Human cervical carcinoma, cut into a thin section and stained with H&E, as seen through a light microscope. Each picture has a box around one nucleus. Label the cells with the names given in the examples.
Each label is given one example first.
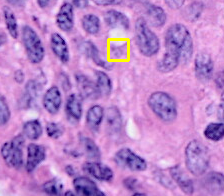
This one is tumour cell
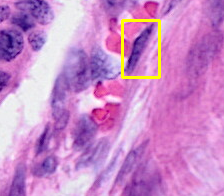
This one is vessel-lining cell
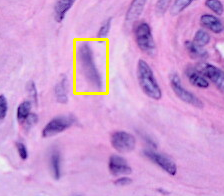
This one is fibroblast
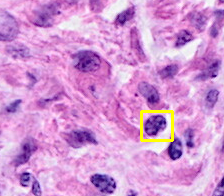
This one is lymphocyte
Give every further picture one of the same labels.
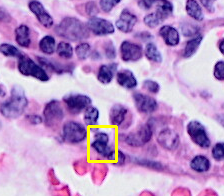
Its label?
lymphocyte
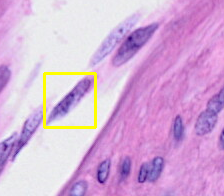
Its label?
vessel-lining cell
